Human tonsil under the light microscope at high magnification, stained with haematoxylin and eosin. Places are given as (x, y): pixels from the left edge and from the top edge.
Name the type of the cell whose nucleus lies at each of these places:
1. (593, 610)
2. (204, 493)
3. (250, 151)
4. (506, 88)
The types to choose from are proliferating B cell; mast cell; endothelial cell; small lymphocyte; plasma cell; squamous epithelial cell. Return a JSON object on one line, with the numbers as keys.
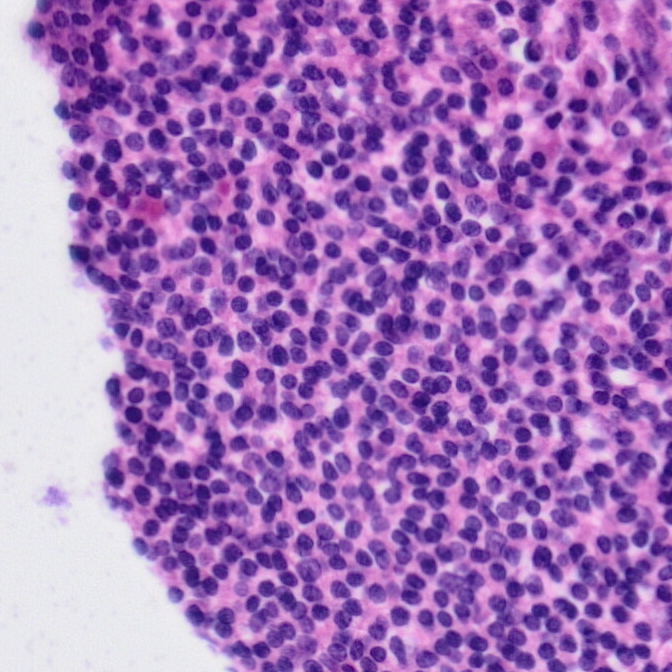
{"1": "small lymphocyte", "2": "small lymphocyte", "3": "small lymphocyte", "4": "plasma cell"}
